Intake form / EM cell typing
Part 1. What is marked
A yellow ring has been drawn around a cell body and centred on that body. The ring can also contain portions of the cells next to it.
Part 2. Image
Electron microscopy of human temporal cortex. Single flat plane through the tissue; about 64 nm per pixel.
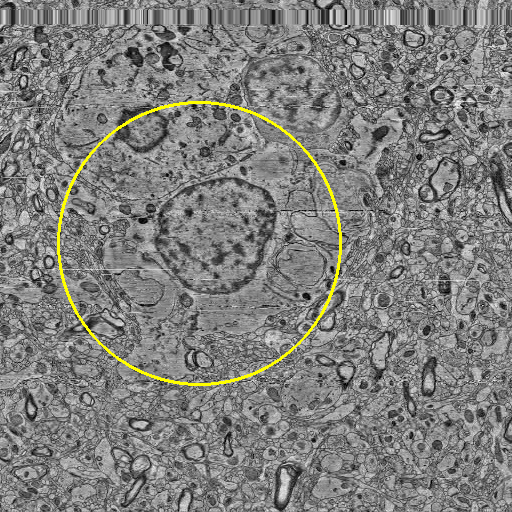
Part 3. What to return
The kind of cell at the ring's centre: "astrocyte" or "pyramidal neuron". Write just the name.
astrocyte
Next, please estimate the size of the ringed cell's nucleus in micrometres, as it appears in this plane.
The nucleus measures about 8 micrometers across in this plane.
